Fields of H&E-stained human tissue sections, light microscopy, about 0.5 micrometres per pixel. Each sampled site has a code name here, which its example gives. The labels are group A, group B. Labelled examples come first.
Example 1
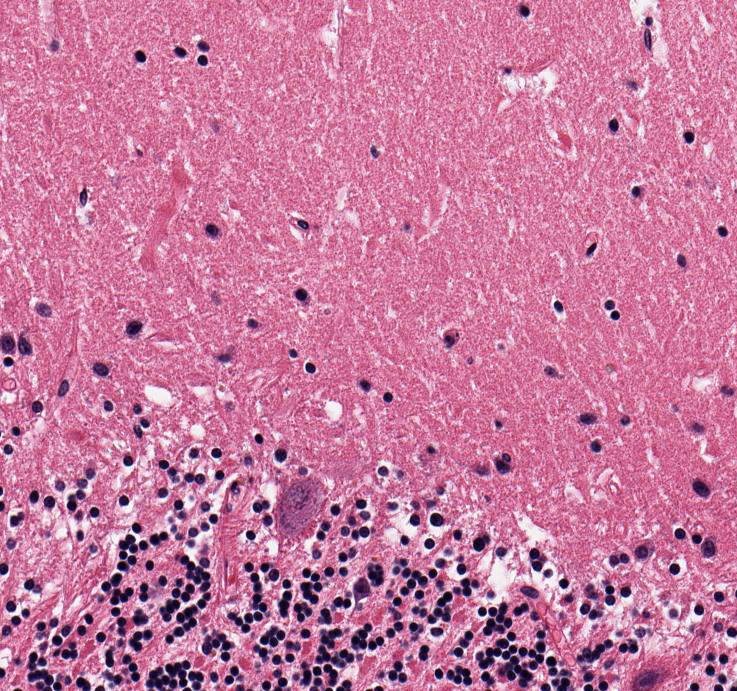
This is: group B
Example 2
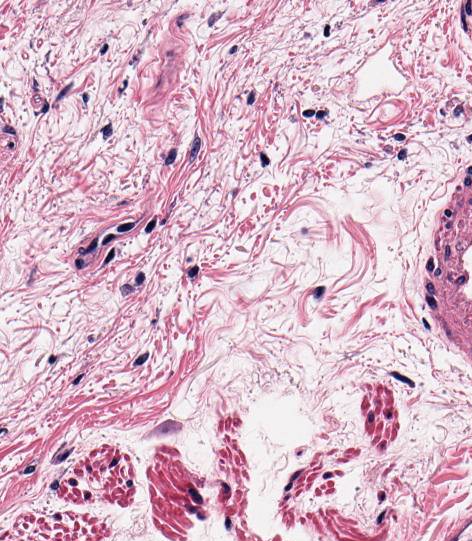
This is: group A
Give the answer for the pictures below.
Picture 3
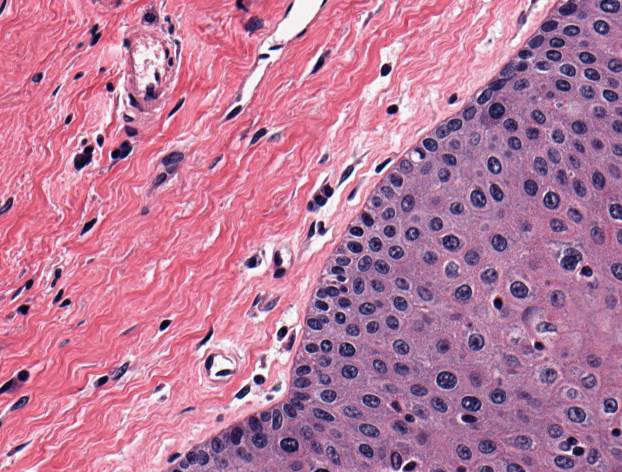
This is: group A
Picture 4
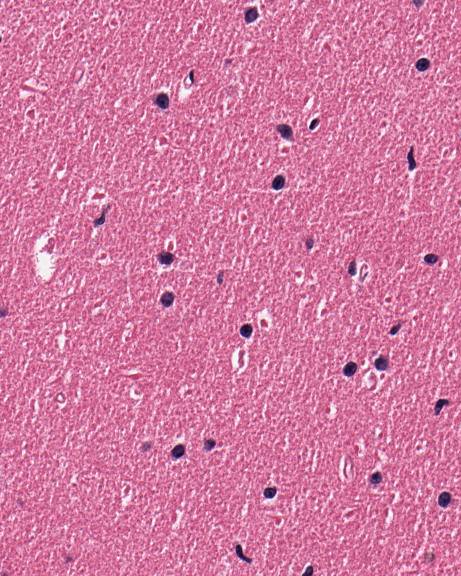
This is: group B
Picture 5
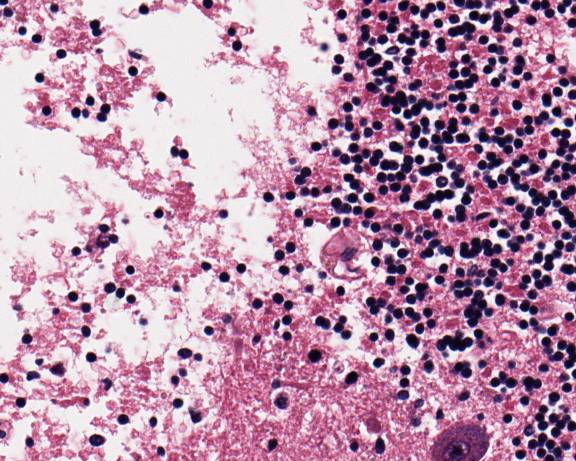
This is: group B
